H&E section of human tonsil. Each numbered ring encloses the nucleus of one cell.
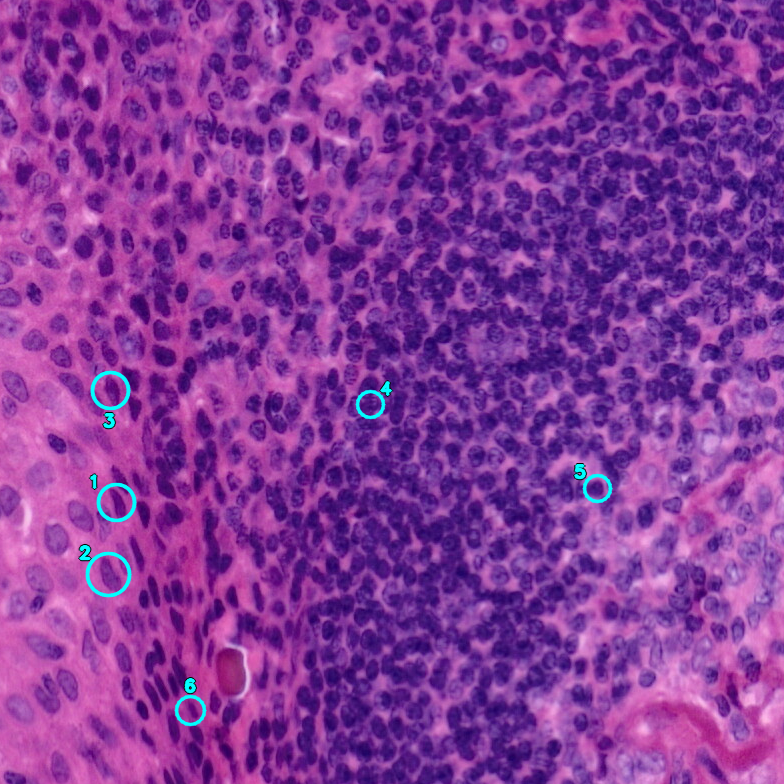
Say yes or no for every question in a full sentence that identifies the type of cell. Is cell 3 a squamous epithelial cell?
Yes, cell number 3 is identified here as a squamous epithelial cell.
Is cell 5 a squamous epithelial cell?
No, the marked cell 5 is not a squamous epithelial cell, being instead a small lymphocyte.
